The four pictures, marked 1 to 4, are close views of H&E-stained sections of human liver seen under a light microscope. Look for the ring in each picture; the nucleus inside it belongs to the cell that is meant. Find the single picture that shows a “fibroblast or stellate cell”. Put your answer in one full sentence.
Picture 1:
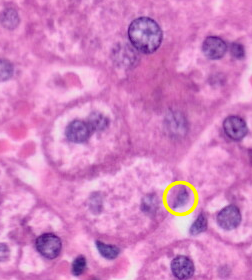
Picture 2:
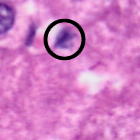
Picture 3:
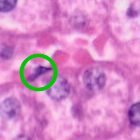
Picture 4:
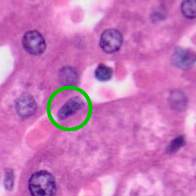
Picture 4 is the one that shows the “fibroblast or stellate cell”.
